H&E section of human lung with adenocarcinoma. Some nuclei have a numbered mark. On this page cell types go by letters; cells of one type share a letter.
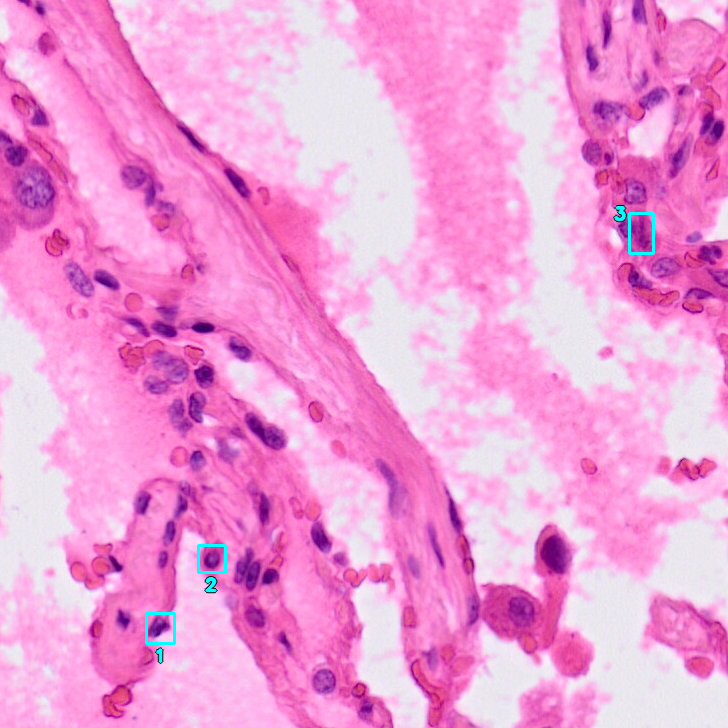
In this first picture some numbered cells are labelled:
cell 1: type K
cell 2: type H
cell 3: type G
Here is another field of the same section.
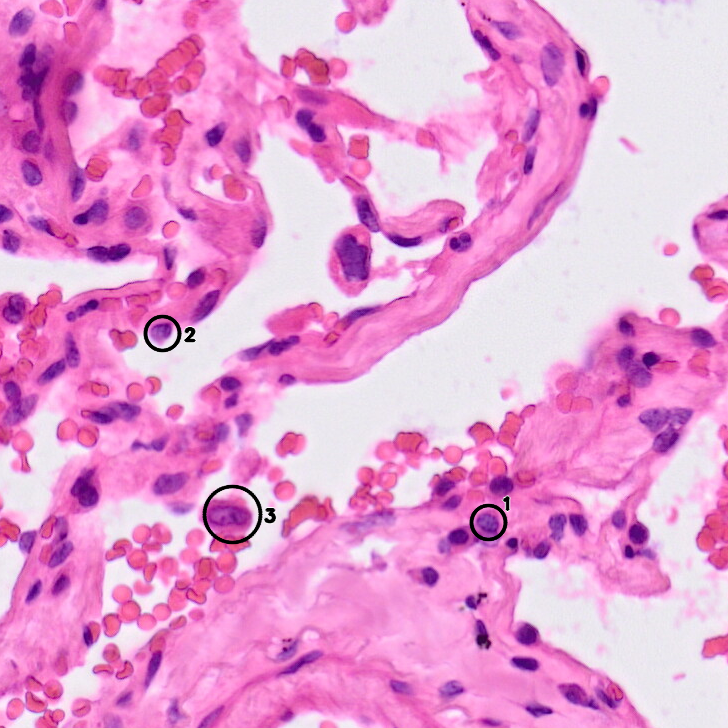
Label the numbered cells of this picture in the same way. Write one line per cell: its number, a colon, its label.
1: type H
2: type K
3: type G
